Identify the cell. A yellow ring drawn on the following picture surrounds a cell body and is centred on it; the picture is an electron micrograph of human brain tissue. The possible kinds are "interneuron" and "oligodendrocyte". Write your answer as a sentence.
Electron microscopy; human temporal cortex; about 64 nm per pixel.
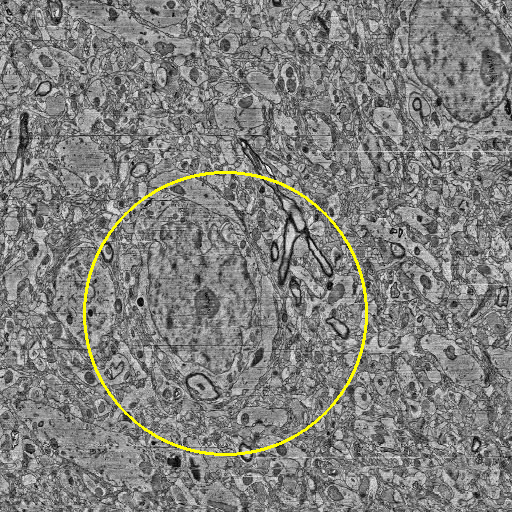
The cell identified by the ring is an interneuron.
